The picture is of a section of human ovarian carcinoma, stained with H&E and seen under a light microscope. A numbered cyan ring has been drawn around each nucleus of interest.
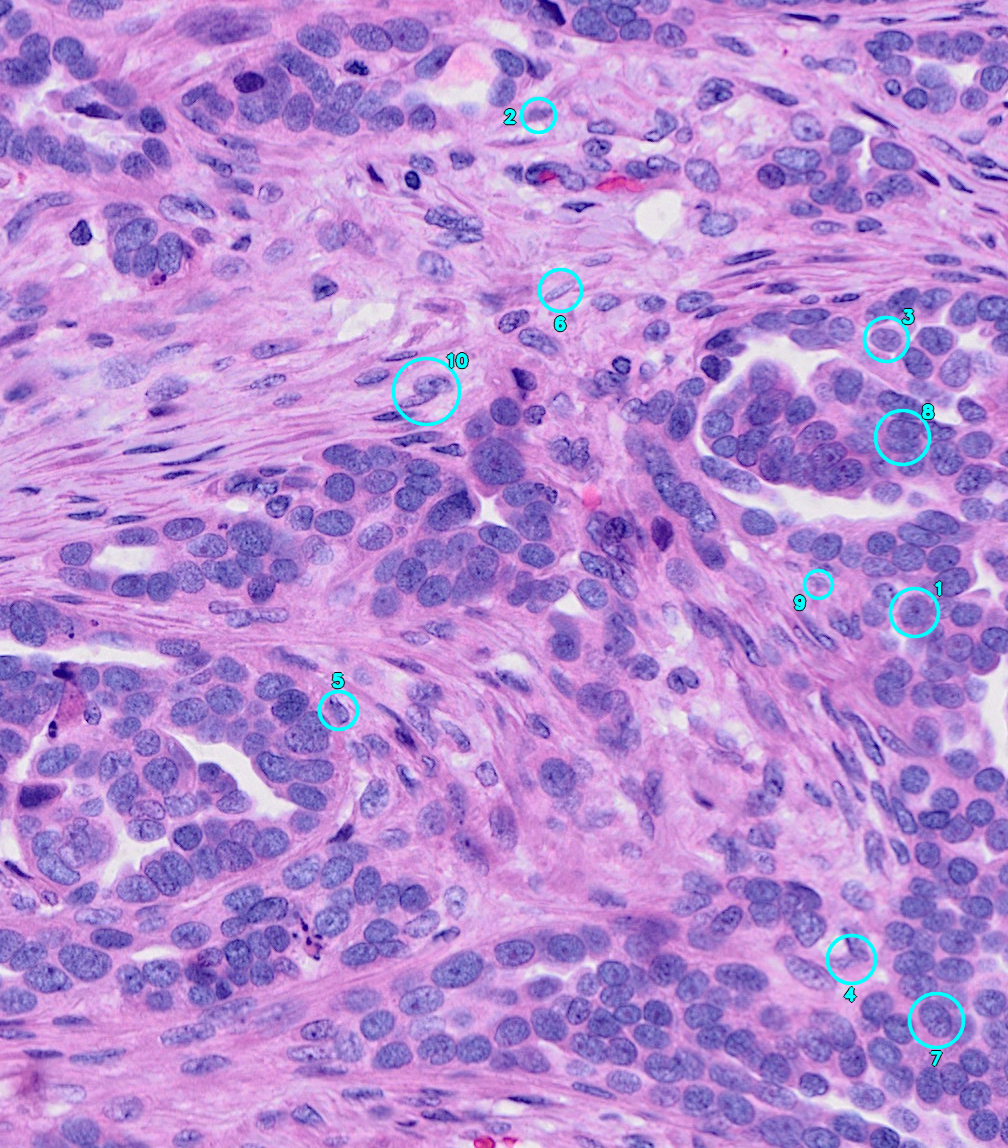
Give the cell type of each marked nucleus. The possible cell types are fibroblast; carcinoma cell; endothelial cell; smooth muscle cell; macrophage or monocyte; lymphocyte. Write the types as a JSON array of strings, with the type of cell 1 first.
["carcinoma cell", "fibroblast", "carcinoma cell", "fibroblast", "fibroblast", "fibroblast", "carcinoma cell", "carcinoma cell", "fibroblast", "fibroblast"]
